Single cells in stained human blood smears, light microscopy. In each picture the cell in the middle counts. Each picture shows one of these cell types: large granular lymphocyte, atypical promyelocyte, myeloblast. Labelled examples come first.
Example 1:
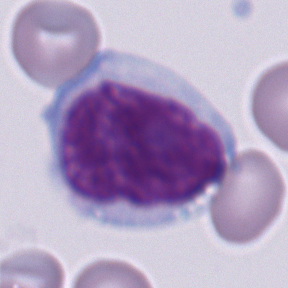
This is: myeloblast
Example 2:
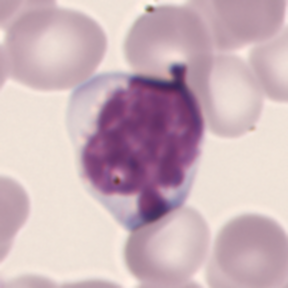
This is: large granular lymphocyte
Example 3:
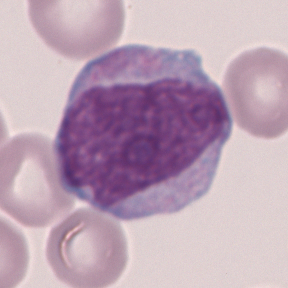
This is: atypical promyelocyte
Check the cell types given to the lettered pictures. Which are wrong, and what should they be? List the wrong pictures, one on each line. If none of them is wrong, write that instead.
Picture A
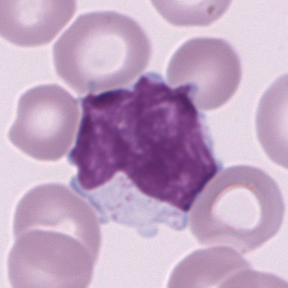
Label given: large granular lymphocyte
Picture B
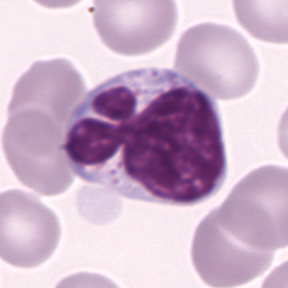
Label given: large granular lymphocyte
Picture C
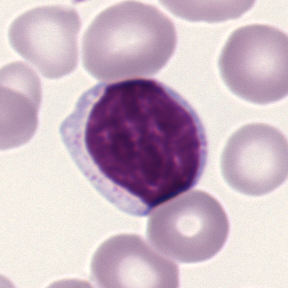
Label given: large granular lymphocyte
Nothing to fix; every label fits.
